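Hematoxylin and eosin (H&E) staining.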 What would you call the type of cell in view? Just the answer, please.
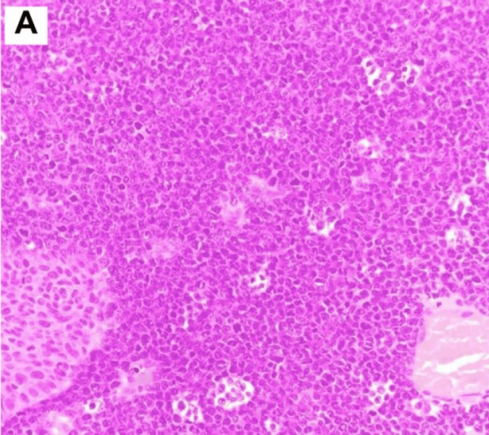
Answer: Intermediate-sized lymphoid cells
